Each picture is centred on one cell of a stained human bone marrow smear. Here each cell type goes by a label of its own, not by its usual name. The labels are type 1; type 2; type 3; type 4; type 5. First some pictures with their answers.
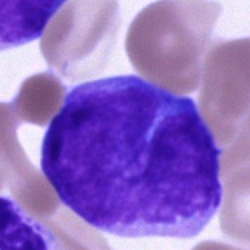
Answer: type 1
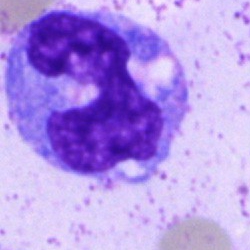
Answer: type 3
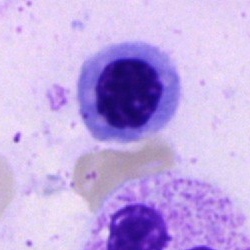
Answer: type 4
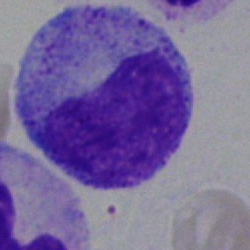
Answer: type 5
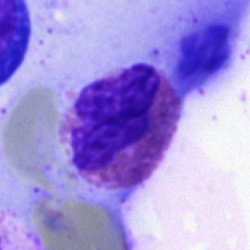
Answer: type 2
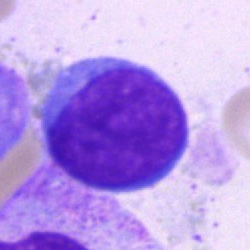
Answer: type 1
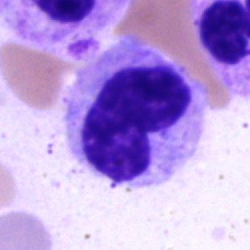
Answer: type 5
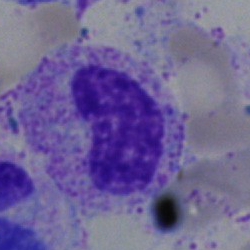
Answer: type 5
